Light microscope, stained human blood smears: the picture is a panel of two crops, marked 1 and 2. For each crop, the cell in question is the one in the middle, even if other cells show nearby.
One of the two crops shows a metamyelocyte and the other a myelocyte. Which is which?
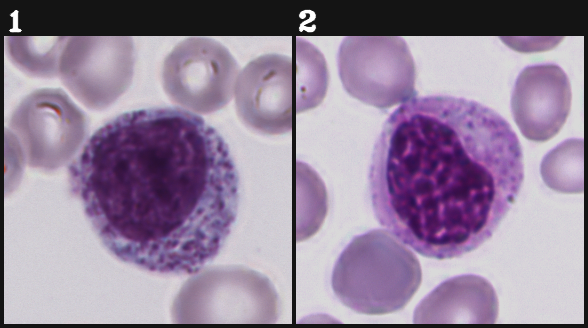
1: myelocyte
2: metamyelocyte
